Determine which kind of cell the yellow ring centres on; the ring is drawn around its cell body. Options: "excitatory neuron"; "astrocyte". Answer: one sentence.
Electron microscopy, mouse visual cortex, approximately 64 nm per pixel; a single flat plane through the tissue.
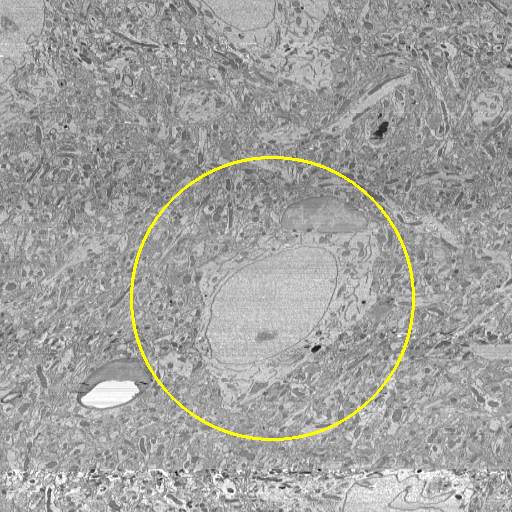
The ring centres on an excitatory neuron.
